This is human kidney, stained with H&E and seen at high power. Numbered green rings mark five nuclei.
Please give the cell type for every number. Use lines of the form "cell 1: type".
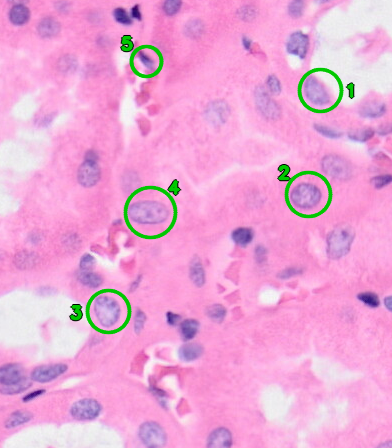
cell 1: loop of Henle or distal tubule cell
cell 2: proximal tubule cell
cell 3: collecting duct cell
cell 4: proximal tubule cell
cell 5: endothelial cell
